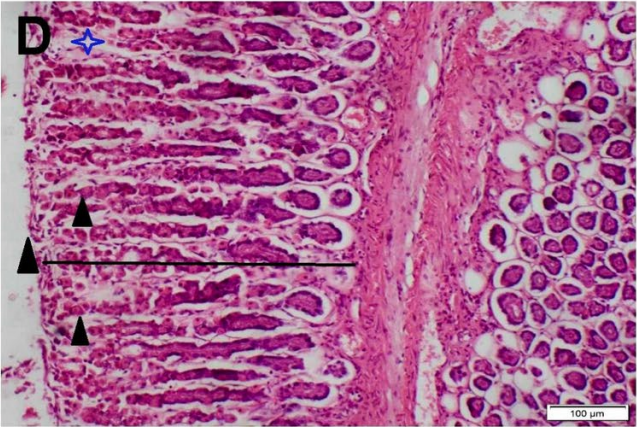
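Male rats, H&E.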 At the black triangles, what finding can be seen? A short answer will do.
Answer: Necrosis and exfoliation of lining cells.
